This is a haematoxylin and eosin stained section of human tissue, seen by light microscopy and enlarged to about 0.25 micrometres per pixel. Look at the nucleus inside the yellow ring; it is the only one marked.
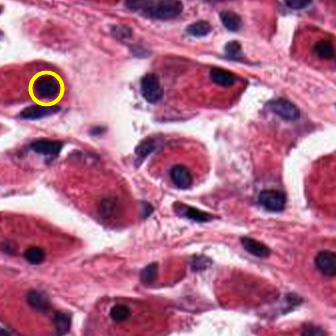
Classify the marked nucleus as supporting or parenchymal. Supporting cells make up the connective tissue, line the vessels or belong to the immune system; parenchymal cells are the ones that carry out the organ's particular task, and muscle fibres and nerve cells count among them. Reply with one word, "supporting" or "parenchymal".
parenchymal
